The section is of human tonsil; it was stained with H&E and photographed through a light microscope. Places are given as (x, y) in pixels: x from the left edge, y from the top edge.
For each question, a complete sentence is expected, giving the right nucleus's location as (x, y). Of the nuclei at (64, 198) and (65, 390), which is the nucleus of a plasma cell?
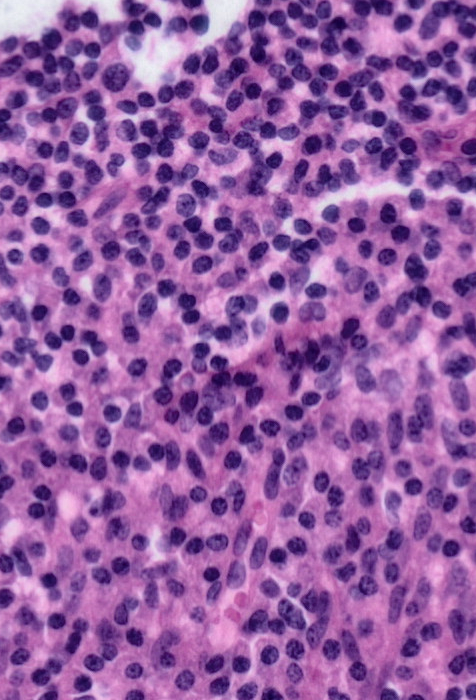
The nucleus of a plasma cell is the one at (65, 390).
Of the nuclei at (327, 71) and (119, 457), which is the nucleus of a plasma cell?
The nucleus at (119, 457) is housed in a plasma cell.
